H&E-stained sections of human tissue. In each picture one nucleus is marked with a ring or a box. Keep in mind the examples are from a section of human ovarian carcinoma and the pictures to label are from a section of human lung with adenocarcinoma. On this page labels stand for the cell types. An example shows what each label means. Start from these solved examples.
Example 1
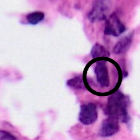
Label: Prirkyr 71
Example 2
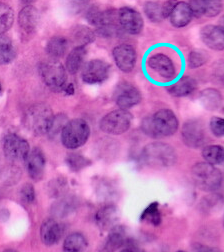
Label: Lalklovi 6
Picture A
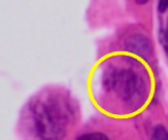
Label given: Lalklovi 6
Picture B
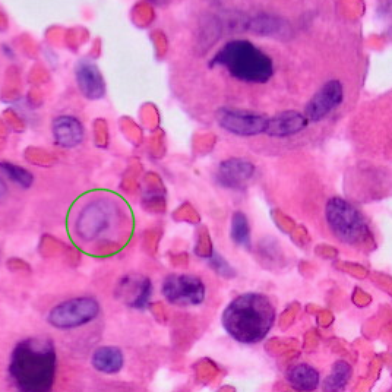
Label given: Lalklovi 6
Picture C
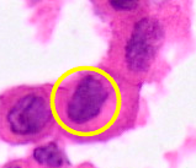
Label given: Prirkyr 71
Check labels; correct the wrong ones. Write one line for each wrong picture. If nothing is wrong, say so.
A: not Lalklovi 6 but Prirkyr 71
